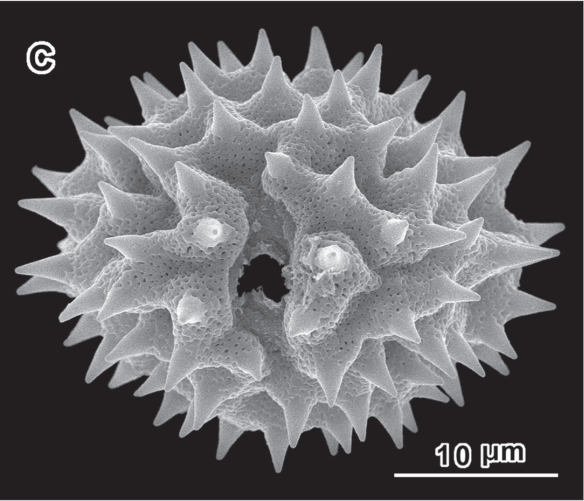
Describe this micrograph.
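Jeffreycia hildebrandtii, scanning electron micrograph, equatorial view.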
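A whole pollen grain, slightly oval in outline, its surface bearing long conical spines on ridges around depressed areas. A dark rounded pore opens in the centre between two ridges. The surface is finely perforated throughout.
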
